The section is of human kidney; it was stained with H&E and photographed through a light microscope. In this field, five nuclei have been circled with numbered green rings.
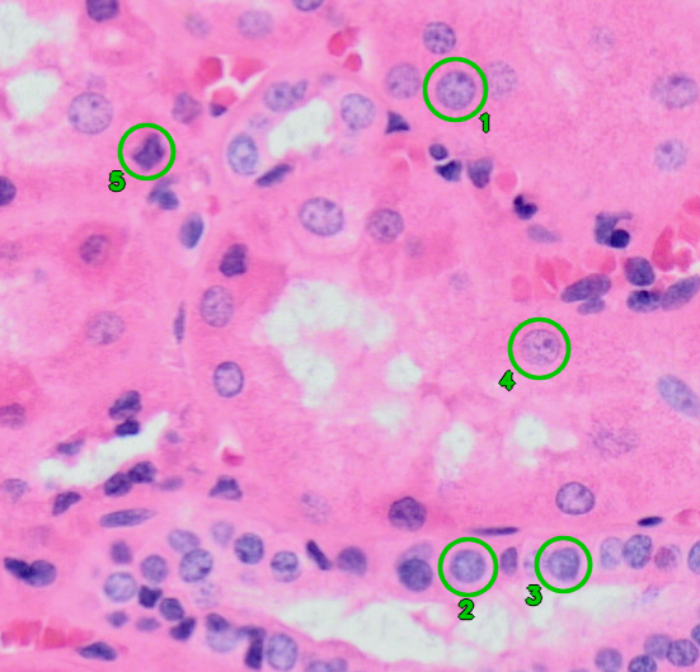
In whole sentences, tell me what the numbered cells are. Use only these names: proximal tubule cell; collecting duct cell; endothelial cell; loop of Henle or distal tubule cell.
Cell 1 is a proximal tubule cell, cell 2 is a collecting duct cell, cell 3 is a collecting duct cell, cell 4 is a proximal tubule cell and cell 5 is a proximal tubule cell.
